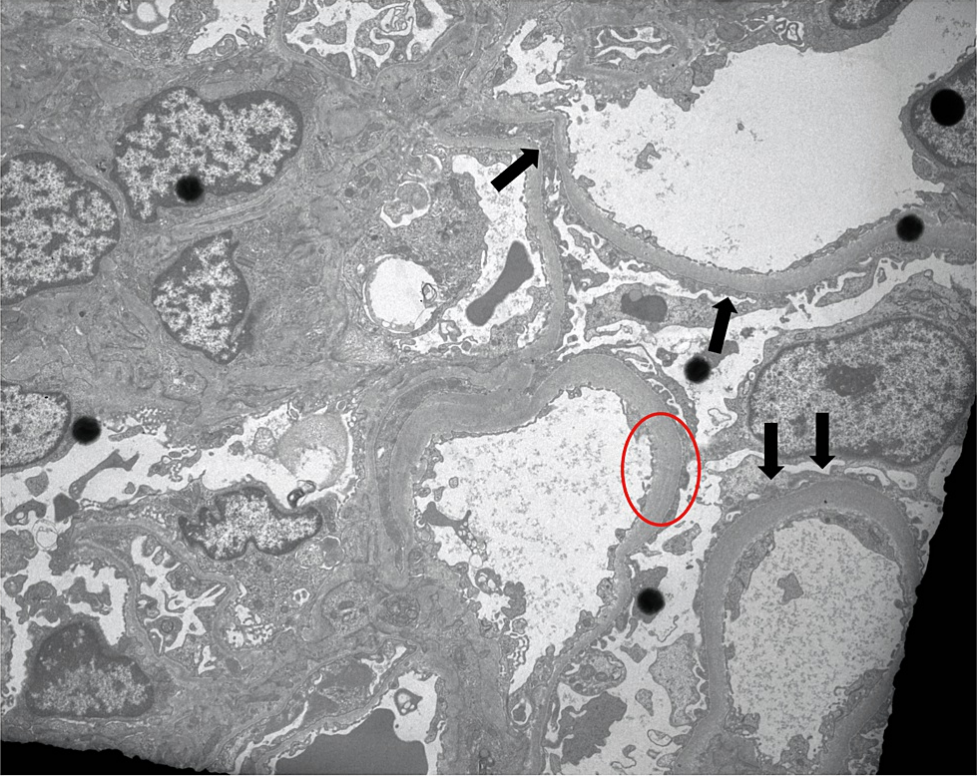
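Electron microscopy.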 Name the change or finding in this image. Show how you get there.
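The grey membrane lining the capillary loops is thick in some stretches and thinner in others. The thickness differs between neighbouring capillary loops.
Hence: variable thickness of glomerular basement membrane.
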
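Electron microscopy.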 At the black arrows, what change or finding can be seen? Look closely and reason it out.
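Foot processes effacement. The black arrows point at the outer side of capillary walls. There the covering cell cytoplasm lies as a continuous flat band on the membrane rather than as separate small feet.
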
